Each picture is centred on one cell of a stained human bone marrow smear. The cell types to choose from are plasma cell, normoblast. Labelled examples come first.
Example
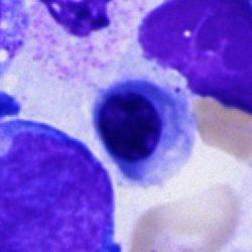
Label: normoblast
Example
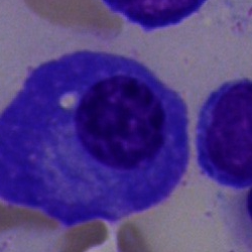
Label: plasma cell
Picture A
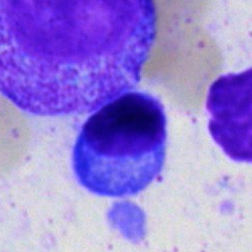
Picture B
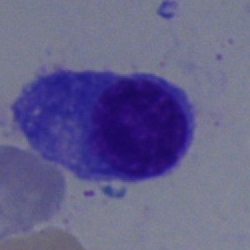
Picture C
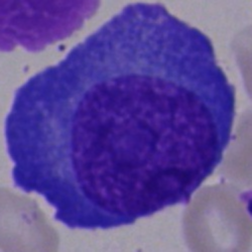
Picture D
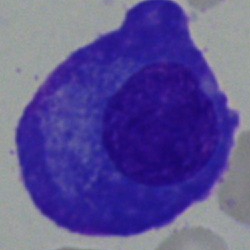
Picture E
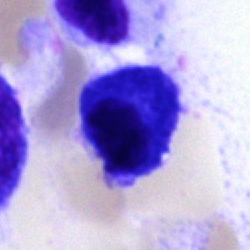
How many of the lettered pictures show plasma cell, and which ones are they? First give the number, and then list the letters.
Count: 5 (A, B, C, D, E)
